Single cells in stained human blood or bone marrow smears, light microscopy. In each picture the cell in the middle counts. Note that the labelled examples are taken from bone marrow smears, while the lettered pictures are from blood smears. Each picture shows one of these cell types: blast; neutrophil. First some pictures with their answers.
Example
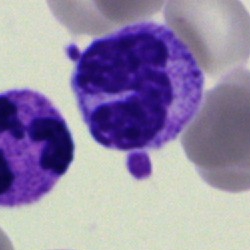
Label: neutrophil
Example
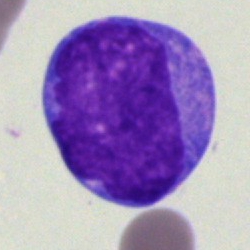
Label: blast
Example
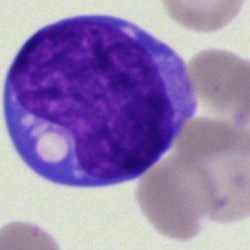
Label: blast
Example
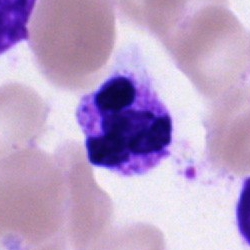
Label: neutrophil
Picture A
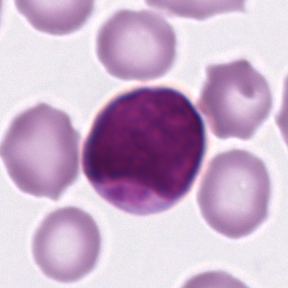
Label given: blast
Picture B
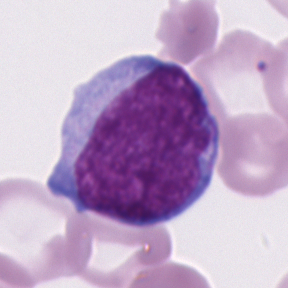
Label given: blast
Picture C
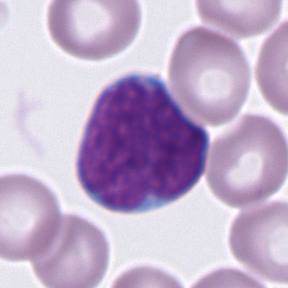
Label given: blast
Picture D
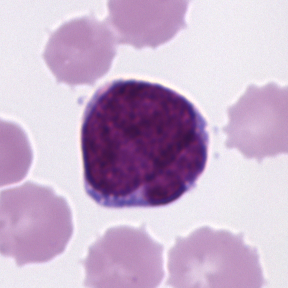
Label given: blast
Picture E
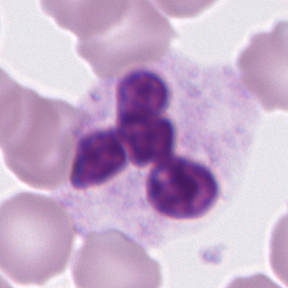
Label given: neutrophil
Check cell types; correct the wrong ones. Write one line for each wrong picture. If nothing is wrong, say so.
None of the labels needs changing.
